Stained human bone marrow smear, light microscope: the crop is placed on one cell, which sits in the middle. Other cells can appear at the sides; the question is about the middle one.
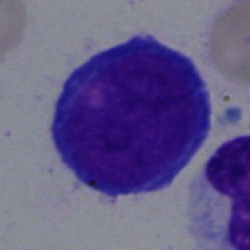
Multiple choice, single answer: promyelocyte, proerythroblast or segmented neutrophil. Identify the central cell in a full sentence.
On this slide crop, the central cell is a proerythroblast.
